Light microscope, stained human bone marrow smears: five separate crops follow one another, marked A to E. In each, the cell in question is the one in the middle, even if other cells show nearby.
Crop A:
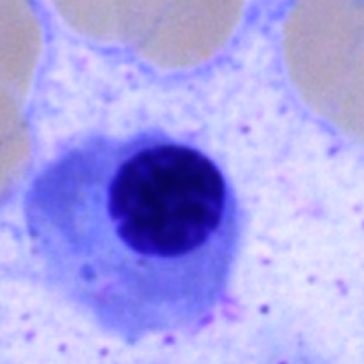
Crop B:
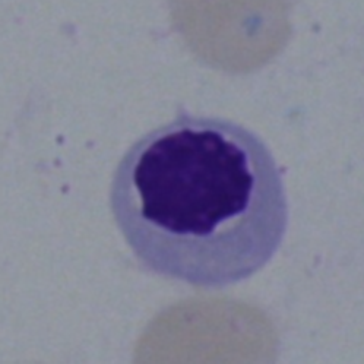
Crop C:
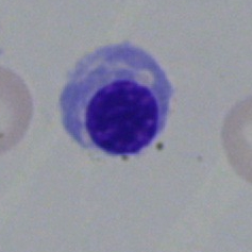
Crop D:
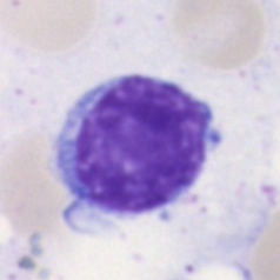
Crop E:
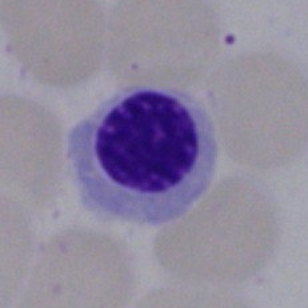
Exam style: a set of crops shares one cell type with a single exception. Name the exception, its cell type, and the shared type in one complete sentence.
Crop D is the one to flag: it is a lymphocyte, and the rest show normoblasts.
